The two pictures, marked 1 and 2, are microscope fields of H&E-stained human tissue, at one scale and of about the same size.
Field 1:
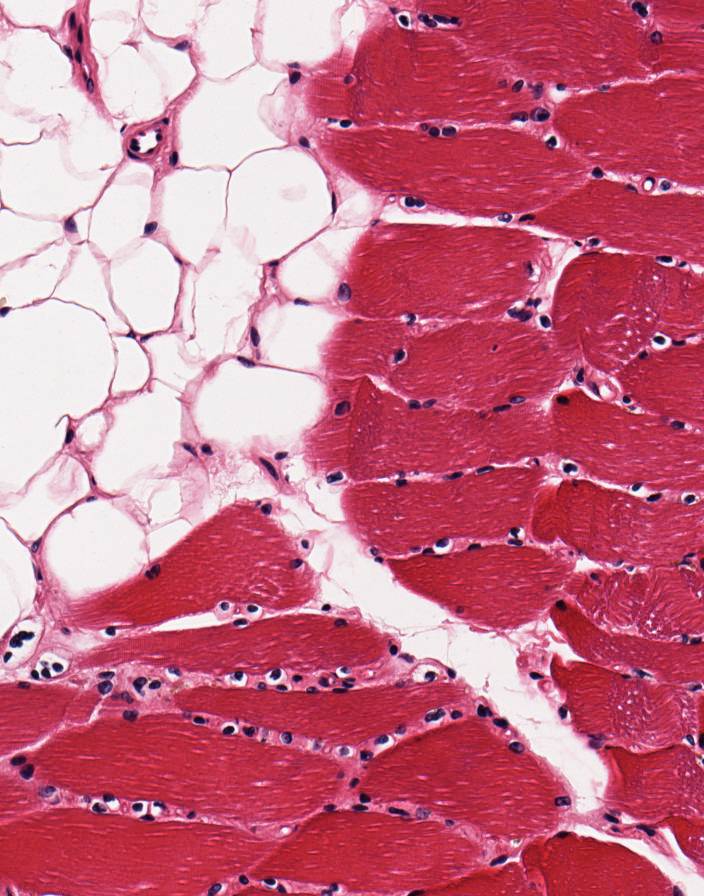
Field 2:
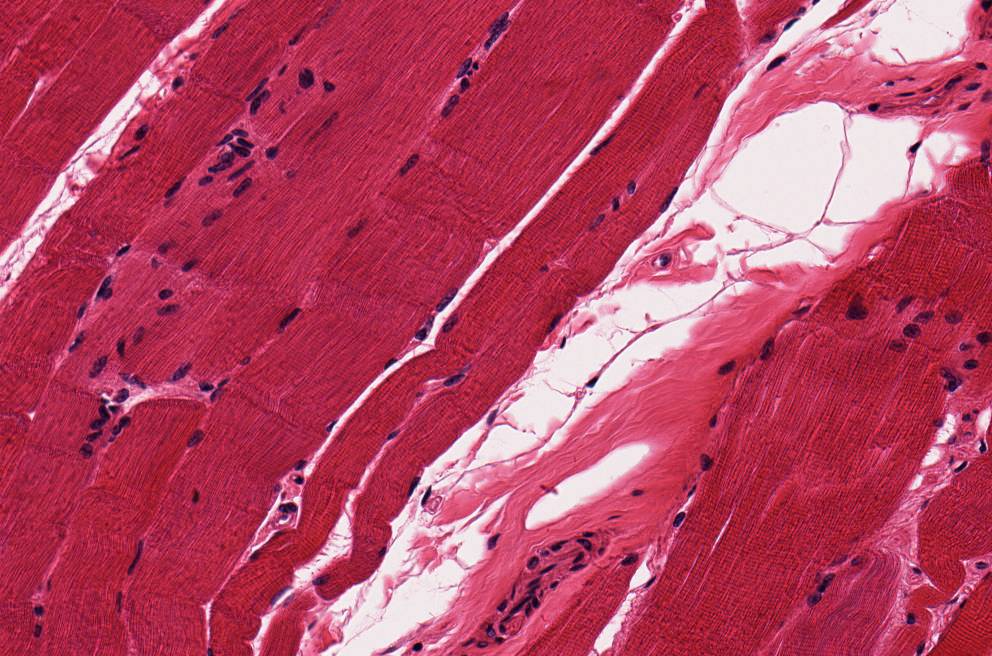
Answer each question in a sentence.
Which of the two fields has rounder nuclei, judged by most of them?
The nuclei are rounder in field 1.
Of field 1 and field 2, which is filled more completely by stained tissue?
It is field 2 that stained tissue fills more completely.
